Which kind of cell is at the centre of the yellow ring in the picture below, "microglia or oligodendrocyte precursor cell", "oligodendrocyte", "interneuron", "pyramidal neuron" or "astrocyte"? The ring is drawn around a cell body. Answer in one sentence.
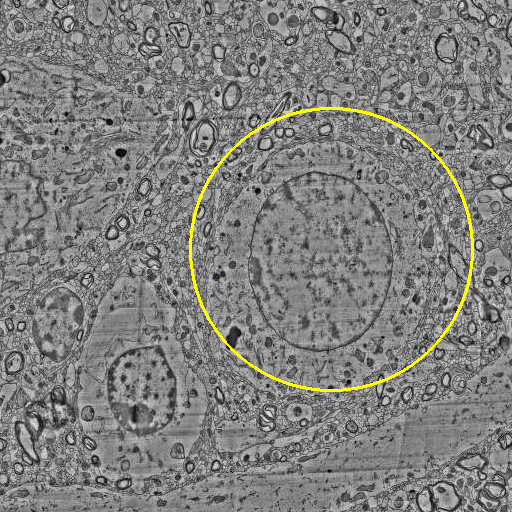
The ring's central cell is an interneuron.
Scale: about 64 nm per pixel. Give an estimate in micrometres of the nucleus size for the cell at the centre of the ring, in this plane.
The nucleus comes to roughly 11 by 9 micrometres in this plane.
